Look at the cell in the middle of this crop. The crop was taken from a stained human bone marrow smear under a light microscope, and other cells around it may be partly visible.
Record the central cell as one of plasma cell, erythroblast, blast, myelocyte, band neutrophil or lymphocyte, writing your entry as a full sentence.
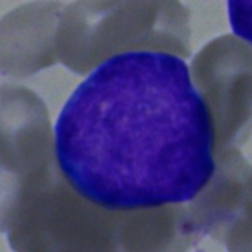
Centred in the crop is a blast.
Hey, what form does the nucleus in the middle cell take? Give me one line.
Its nucleus is compact and single, with a round, oval or kidney-shaped form.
